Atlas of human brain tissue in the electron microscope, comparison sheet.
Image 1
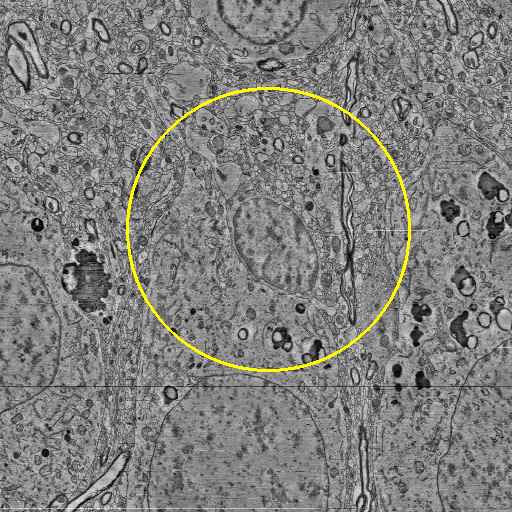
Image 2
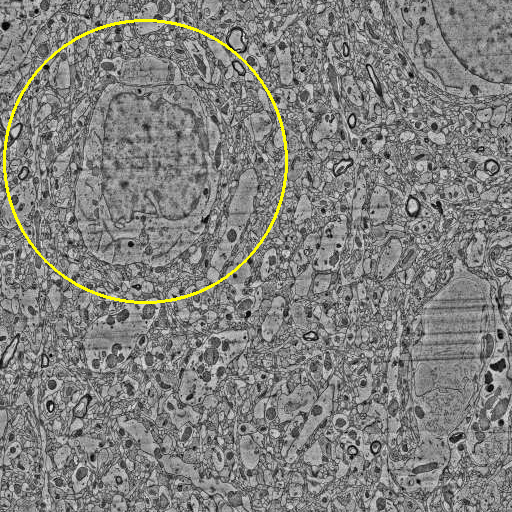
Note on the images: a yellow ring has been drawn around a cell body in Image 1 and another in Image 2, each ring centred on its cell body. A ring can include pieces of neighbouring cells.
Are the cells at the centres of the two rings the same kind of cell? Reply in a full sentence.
No, the two cells are of two kinds.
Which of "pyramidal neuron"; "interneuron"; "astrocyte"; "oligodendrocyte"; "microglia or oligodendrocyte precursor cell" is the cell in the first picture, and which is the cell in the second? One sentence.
The two differ: the first cell is an oligodendrocyte and the second is an interneuron.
